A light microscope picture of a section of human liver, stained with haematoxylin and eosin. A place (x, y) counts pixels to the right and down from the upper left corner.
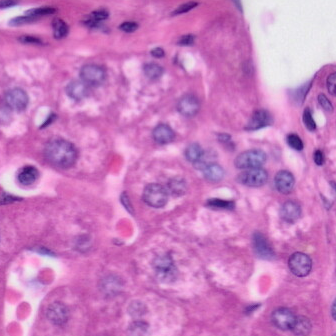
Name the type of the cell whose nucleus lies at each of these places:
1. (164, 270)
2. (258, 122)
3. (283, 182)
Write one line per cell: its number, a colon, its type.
1: hepatocyte
2: fibroblast or stellate cell
3: cholangiocyte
